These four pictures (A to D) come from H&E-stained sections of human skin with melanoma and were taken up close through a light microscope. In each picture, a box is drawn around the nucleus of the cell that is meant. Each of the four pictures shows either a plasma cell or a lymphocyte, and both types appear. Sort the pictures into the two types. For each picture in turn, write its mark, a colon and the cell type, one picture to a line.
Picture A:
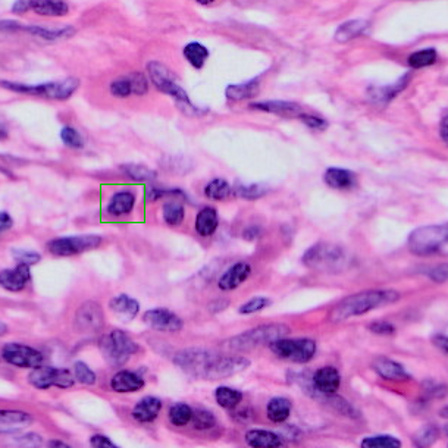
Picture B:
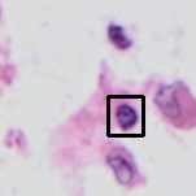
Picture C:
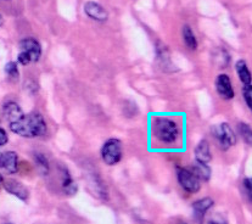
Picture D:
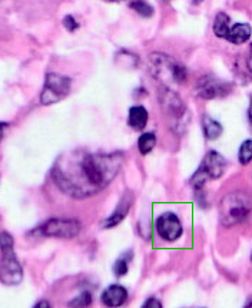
A: plasma cell
B: lymphocyte
C: plasma cell
D: lymphocyte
